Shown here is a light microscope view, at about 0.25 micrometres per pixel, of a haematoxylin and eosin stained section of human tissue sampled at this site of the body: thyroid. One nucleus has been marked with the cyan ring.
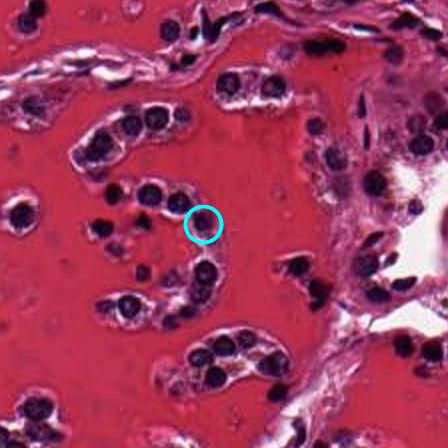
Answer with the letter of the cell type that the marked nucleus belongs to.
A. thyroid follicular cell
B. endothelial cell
A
